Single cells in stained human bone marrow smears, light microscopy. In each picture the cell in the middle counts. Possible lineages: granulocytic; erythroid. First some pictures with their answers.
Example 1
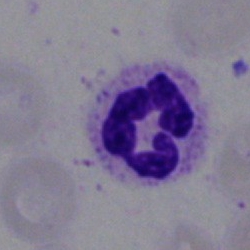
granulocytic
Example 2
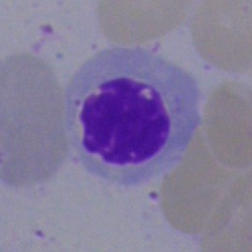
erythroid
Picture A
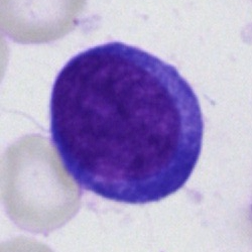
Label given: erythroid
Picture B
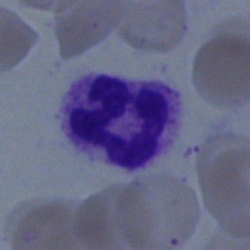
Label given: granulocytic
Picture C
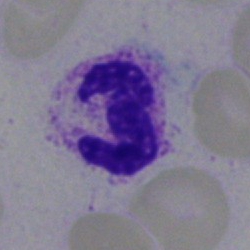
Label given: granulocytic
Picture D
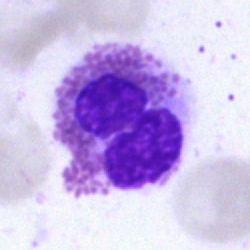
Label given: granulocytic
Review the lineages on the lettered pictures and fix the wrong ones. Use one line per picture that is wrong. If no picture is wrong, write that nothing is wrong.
All correct.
